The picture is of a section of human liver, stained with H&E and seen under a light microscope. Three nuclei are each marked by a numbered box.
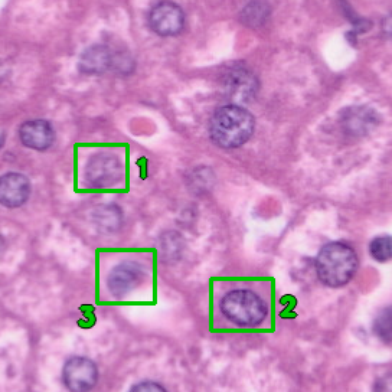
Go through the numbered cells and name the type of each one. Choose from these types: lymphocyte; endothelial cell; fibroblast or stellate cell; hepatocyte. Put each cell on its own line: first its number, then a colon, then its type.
1: hepatocyte
2: hepatocyte
3: endothelial cell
